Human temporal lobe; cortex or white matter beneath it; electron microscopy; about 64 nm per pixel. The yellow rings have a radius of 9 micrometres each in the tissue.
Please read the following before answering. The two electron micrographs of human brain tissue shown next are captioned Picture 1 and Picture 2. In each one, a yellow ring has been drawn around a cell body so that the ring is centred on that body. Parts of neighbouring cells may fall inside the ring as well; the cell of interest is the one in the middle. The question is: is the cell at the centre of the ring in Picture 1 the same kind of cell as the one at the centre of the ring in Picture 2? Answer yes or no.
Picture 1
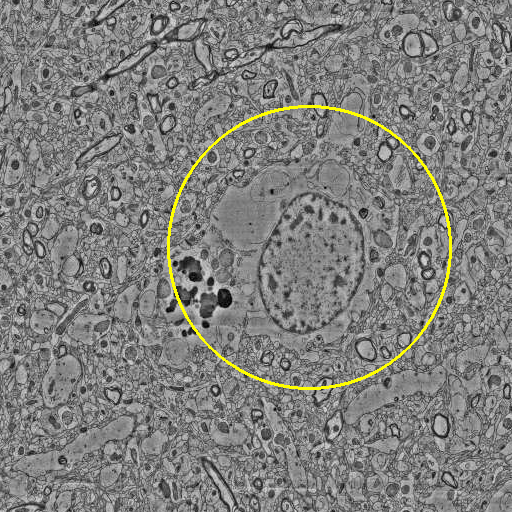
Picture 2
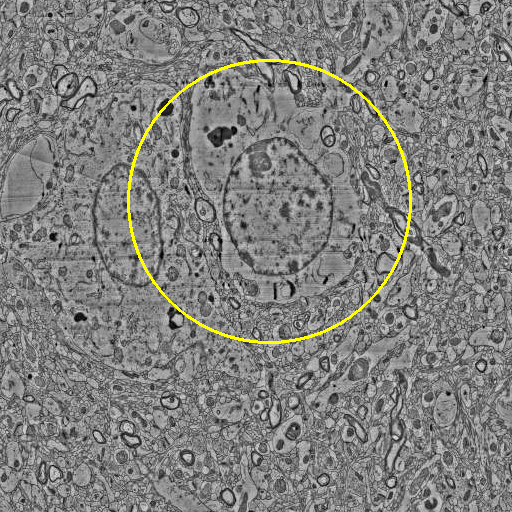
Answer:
yes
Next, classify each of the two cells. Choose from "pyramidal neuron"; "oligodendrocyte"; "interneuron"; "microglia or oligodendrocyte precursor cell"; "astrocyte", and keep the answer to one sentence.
In the first picture and in the second, the ring is centred on an astrocyte.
